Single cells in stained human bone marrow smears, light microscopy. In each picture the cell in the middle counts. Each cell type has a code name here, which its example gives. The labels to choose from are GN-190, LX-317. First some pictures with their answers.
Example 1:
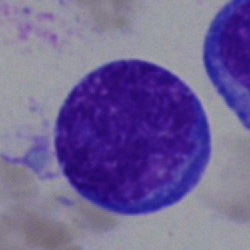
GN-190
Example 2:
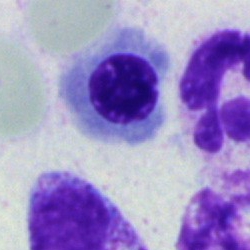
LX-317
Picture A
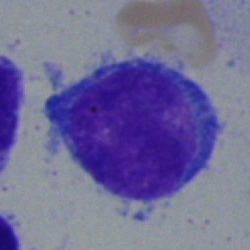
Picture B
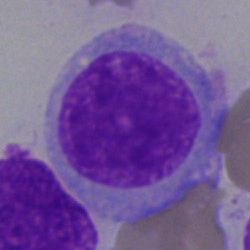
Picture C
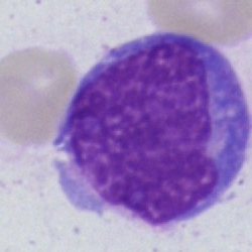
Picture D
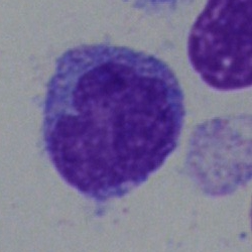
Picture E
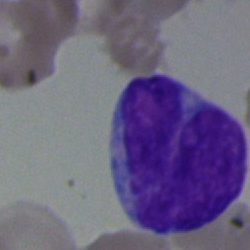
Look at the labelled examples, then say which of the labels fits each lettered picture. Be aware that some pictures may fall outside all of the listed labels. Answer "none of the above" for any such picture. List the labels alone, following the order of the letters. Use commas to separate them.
GN-190, GN-190, GN-190, GN-190, GN-190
